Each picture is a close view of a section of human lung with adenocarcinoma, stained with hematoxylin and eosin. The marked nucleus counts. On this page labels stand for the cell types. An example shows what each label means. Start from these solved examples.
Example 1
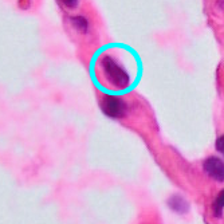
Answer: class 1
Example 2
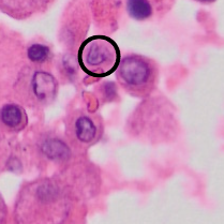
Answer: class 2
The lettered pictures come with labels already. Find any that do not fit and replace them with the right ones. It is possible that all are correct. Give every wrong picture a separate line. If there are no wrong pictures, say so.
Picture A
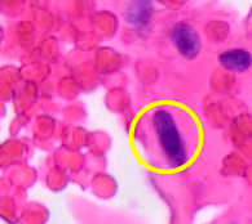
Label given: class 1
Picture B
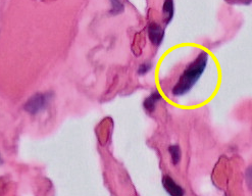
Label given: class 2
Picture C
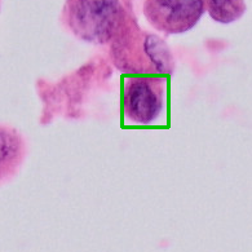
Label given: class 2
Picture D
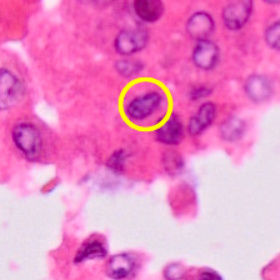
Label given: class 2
B should be class 1, not class 2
